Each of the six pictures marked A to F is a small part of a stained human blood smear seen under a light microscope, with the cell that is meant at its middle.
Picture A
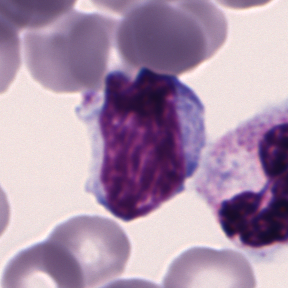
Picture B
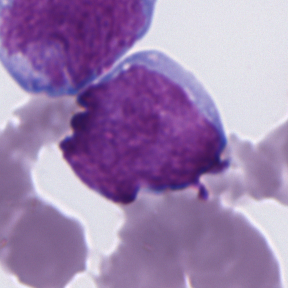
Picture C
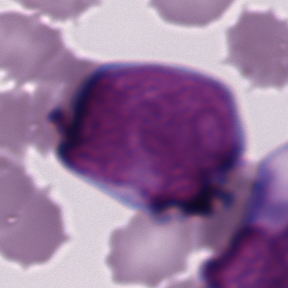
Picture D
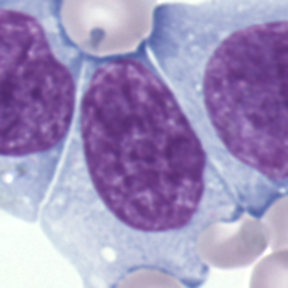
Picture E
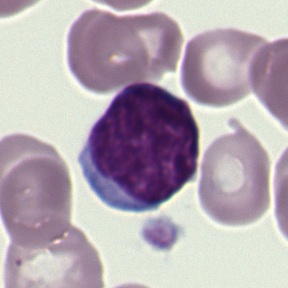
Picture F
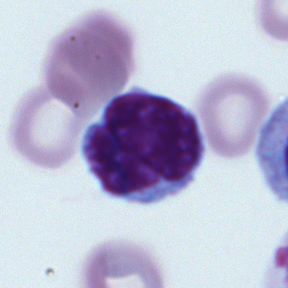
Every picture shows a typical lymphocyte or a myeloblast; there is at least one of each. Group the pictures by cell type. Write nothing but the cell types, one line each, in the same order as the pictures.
typical lymphocyte
myeloblast
myeloblast
myeloblast
typical lymphocyte
typical lymphocyte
